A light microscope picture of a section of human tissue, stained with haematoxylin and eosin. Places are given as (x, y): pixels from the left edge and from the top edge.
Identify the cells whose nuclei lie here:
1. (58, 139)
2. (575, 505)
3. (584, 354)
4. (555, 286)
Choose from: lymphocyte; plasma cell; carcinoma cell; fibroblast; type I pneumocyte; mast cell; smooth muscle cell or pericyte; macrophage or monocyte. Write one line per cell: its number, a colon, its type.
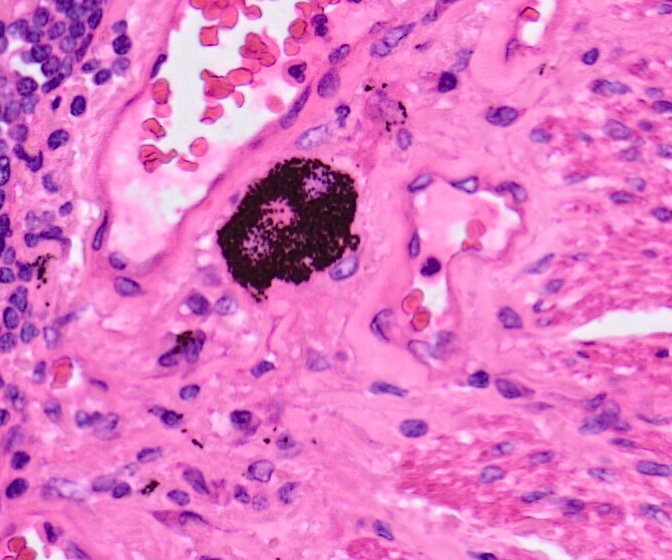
1: lymphocyte
2: smooth muscle cell or pericyte
3: smooth muscle cell or pericyte
4: smooth muscle cell or pericyte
